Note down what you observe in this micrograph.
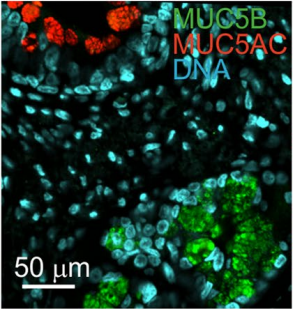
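This is a section of airway wall with rounded, swollen mucus-filled cells in red along the surface lining at the top and clusters of green-filled cells deep below. The red cells form a row of plump cup-shaped bodies within the surface layer, which fits surface goblet cells. Beneath them lies connective tissue with scattered elongated and oval cyan nuclei. In the lower part, the green cells are packed into rounded clusters, with granular cytoplasm and nuclei pressed toward the cell bases, as in the mucous cells of submucosal glands. The two kinds of mucus cell thus sit in separate places, one at the surface and one in the glands below.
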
